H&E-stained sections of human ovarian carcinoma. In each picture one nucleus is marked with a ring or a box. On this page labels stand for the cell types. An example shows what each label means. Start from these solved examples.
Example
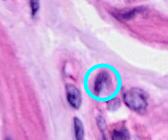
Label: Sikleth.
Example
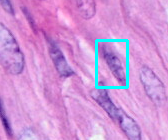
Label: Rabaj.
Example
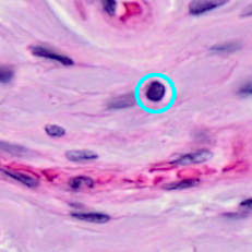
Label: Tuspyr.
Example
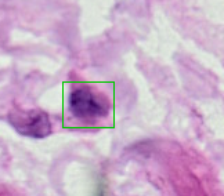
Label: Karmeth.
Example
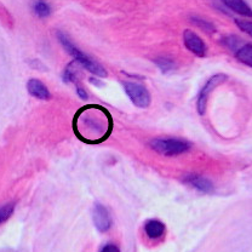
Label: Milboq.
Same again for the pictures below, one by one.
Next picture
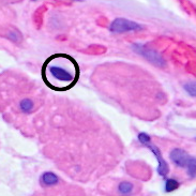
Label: Tuspyr.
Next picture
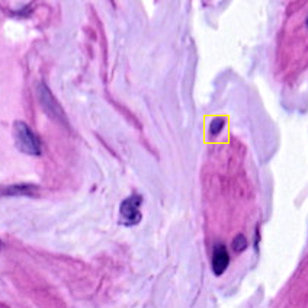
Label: Milboq.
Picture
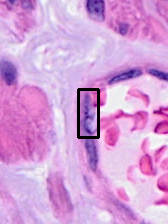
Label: Sikleth.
